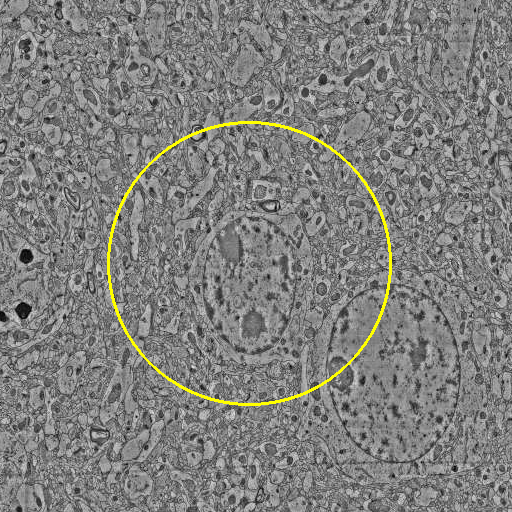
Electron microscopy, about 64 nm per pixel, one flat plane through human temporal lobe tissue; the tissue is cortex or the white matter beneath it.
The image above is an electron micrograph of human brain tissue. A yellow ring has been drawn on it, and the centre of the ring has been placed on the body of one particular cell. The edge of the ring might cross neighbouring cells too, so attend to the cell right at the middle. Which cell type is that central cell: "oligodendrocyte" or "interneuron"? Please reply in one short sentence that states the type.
The central cell in the ring is an interneuron.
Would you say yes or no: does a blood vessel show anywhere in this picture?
No, no blood vessel can be seen.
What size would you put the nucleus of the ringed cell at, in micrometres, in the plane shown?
The nucleus appears roughly 9 by 6 micrometres in this plane.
